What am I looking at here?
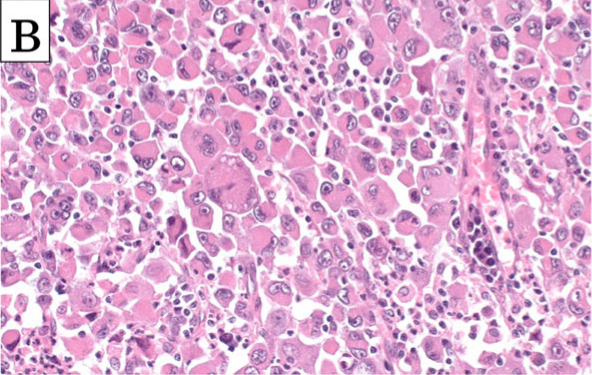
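A malignant tumor made of sheets of large, loosely cohesive atypical giant cells. The cells are polygonal to rounded, with abundant, glassy, deeply pink cytoplasm. Their nuclei are large, irregular and vesicular, with conspicuous nucleoli; some cells carry two or more nuclei, and nuclear size varies markedly from cell to cell. Between the tumor cells lie many small, dark, round inflammatory cells. The cells are dissociated, with little intervening stroma. A thin vessel with elongated cells is seen near one edge.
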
